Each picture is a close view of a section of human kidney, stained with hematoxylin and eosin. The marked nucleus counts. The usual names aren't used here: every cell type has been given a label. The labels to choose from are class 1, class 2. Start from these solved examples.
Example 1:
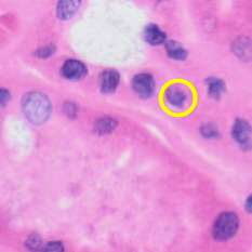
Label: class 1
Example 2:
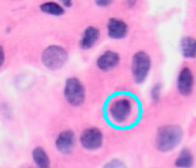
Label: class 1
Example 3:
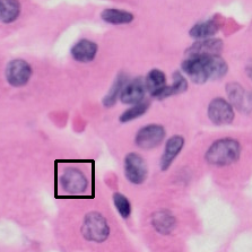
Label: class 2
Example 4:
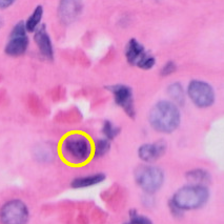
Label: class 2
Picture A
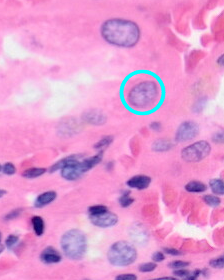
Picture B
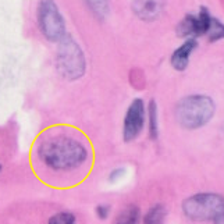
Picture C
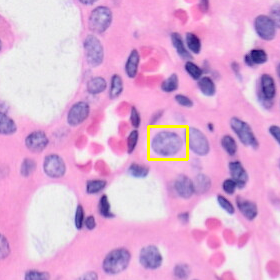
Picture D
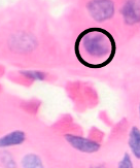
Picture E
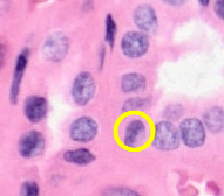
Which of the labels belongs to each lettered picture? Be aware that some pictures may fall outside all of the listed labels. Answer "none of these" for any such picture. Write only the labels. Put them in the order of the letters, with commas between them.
class 2, class 2, none of these, class 2, none of these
